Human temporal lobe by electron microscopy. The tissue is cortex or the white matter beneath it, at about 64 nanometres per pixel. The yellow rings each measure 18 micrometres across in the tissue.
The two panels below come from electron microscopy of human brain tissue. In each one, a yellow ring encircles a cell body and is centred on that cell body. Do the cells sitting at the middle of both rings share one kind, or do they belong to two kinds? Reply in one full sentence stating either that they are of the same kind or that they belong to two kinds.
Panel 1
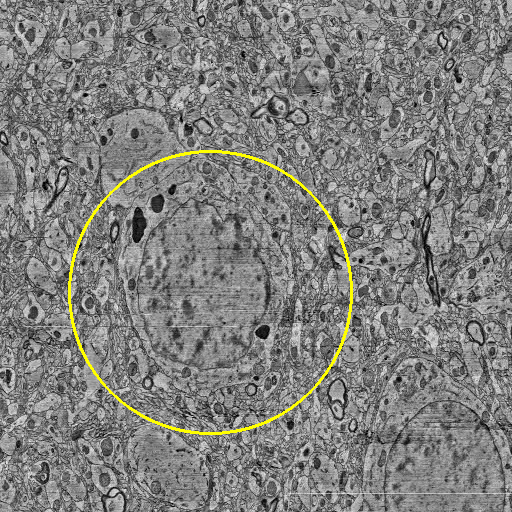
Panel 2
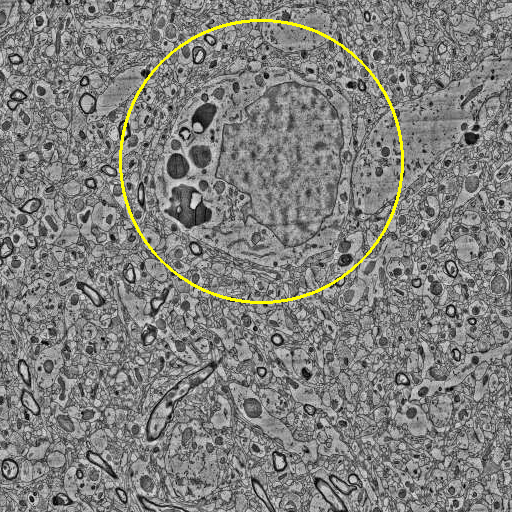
The cells at the centres of the two rings are of the same kind.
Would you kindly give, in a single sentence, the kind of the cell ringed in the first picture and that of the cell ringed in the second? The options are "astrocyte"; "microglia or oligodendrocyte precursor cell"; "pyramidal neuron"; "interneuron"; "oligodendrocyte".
Each of the two rings is centred on an interneuron.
